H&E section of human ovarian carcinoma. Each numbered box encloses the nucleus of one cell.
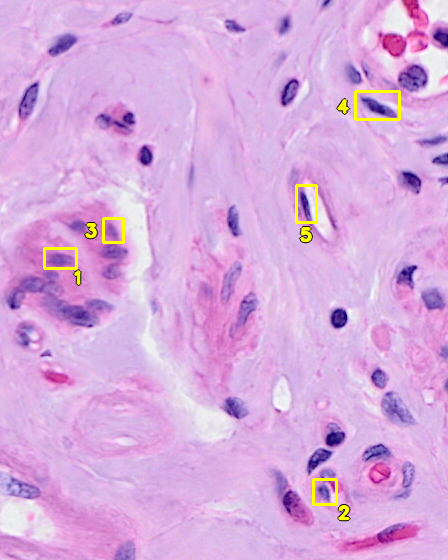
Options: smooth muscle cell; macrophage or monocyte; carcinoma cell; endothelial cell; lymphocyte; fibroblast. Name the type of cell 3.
smooth muscle cell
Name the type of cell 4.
fibroblast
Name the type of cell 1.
smooth muscle cell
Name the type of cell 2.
endothelial cell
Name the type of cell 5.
endothelial cell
